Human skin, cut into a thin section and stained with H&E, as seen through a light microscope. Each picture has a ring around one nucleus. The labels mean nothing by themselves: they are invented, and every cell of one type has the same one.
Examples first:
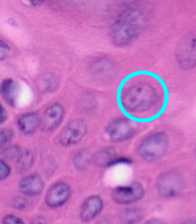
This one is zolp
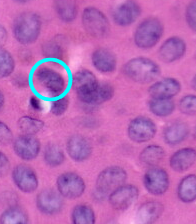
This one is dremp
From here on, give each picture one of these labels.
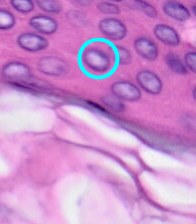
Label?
zolp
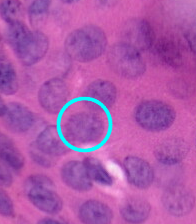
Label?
zolp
